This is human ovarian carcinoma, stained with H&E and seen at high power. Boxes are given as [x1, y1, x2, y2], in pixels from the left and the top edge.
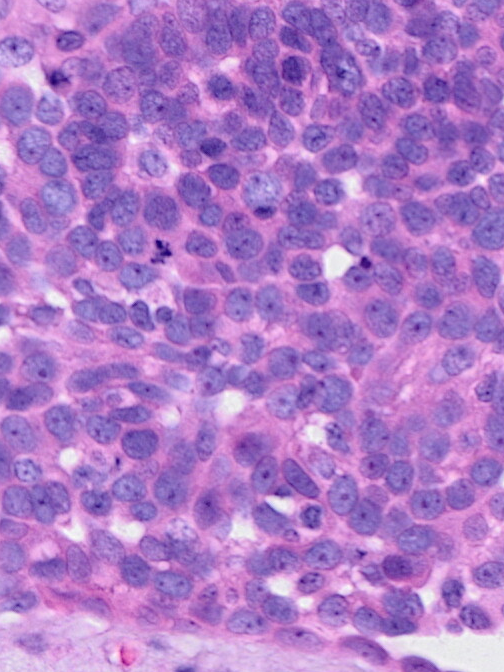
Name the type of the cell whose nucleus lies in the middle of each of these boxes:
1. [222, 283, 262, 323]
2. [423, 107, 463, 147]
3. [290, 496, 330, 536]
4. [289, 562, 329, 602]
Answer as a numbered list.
1. carcinoma cell
2. carcinoma cell
3. macrophage or monocyte
4. macrophage or monocyte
